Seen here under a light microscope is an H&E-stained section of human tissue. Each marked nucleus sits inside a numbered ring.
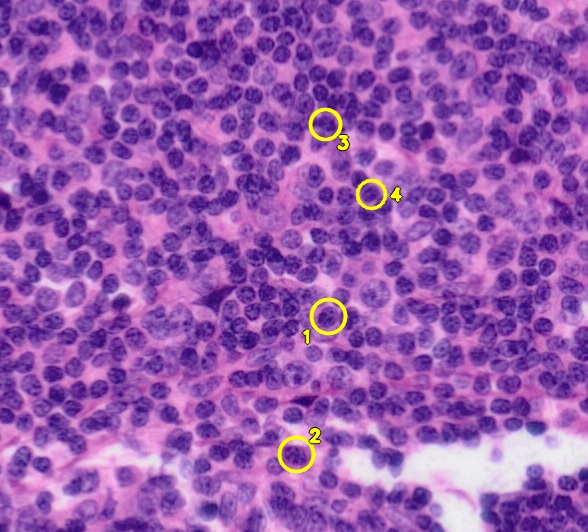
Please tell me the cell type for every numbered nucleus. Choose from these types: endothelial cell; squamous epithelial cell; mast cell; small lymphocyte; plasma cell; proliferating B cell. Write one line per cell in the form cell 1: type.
cell 1: small lymphocyte
cell 2: plasma cell
cell 3: small lymphocyte
cell 4: small lymphocyte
